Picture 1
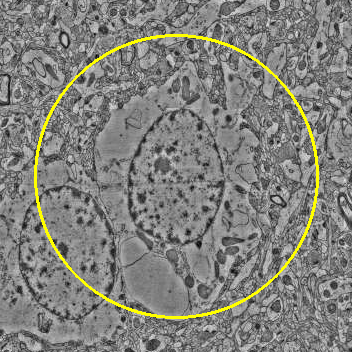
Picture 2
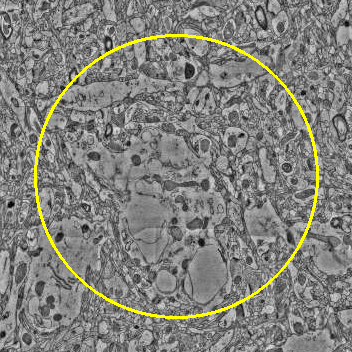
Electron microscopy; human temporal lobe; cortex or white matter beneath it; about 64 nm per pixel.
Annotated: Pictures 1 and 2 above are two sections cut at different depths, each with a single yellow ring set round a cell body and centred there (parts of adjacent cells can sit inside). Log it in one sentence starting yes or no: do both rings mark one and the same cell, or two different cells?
Yes, the marked cell is the same in both rings.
